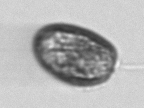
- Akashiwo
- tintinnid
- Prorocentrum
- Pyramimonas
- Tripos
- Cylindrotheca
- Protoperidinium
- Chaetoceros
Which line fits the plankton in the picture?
Prorocentrum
